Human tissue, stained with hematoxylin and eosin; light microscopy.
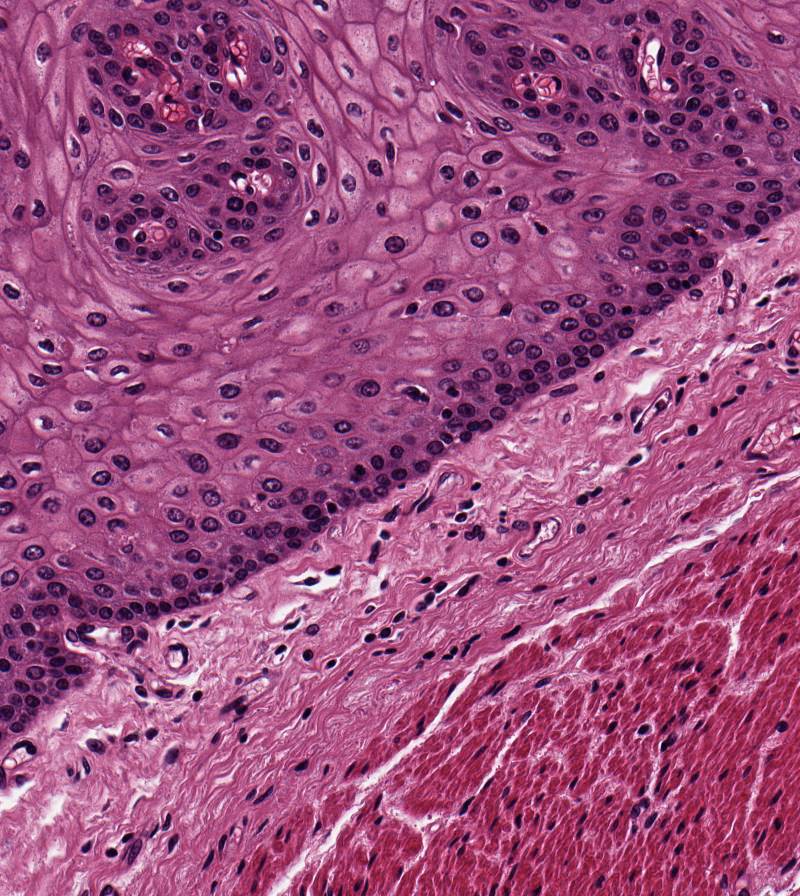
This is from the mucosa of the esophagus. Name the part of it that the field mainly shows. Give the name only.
stratified squamous nonkeratinized epithelium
